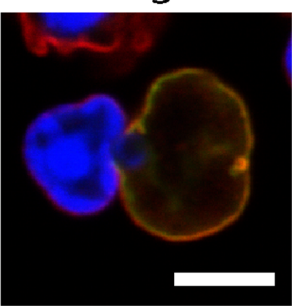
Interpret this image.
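A single erythroblast caught while expelling its nucleus is shown. The two parts meet at a narrow indented junction. The outline of the large lobe is sharply marked by a mixed yellow-orange rim where green and red overlap, with a small bright dot at its edge. Around the nuclear bulge the green rim is faint while some red persists. Part of another red-outlined cell appears at the upper left.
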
